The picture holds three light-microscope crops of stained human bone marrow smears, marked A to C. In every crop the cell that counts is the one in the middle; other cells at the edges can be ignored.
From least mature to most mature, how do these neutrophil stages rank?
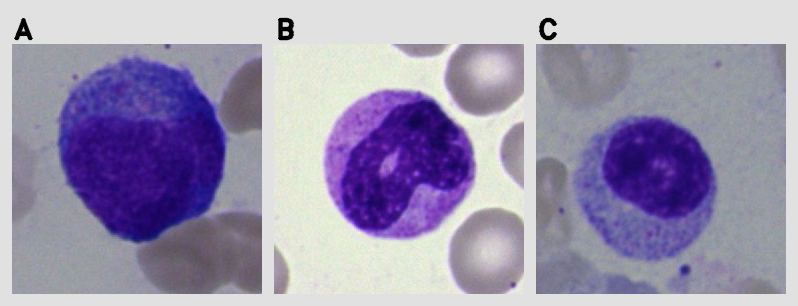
A, C, B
